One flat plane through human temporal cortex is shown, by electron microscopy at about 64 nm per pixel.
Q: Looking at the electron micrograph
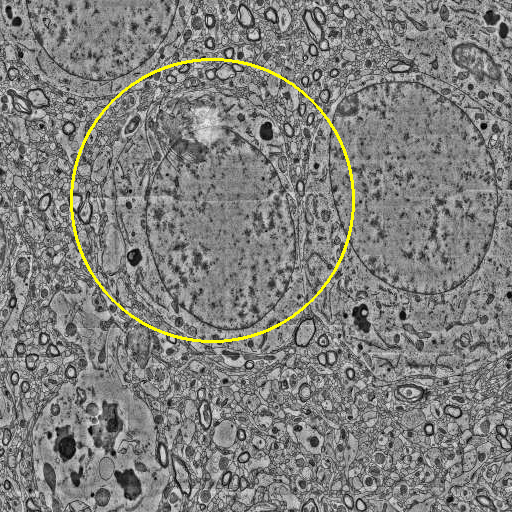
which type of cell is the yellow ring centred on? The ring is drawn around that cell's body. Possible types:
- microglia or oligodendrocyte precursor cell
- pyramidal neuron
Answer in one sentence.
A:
The yellow ring is centred on a pyramidal neuron.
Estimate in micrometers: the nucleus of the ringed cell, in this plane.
The ringed cell's nucleus is about 13 micrometres long and 10 micrometres wide in this plane.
